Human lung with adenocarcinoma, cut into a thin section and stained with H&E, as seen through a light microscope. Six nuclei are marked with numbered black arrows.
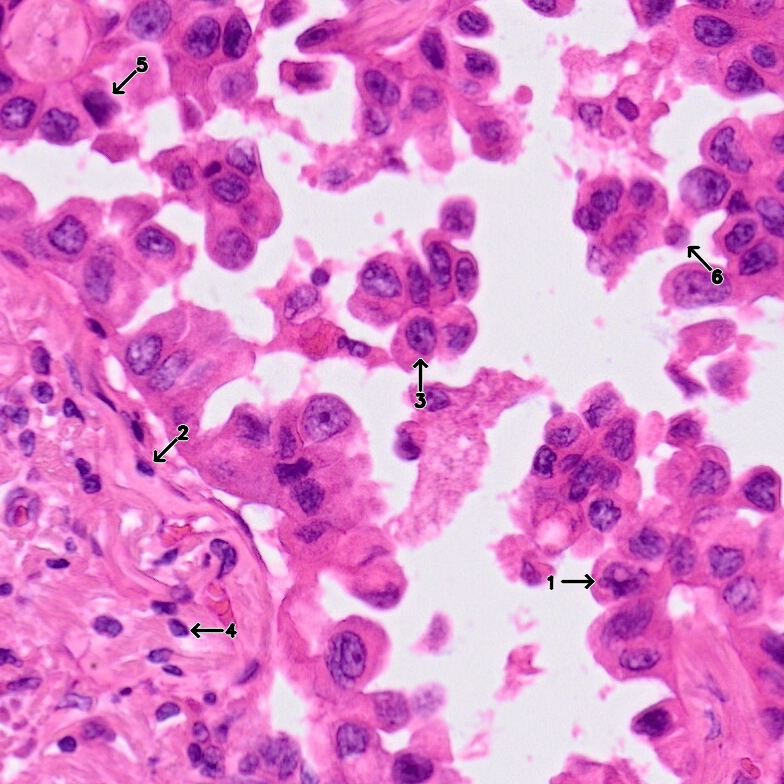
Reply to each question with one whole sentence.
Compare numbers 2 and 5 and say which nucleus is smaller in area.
It is nucleus 2; nucleus 5 has about 3 times its area.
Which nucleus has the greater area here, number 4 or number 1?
It is nucleus 1, which covers about 4 times the area of nucleus 4.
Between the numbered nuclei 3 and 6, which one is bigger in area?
It is nucleus 3, which covers about 2 times the area of nucleus 6.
